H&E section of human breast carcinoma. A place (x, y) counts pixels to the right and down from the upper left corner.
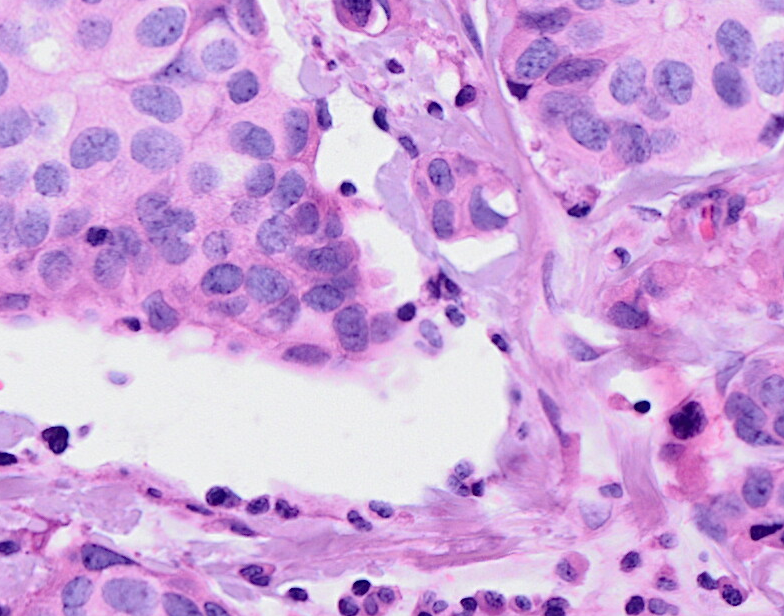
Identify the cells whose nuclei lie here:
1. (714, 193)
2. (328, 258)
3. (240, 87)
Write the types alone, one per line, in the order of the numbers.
endothelial cell
carcinoma cell
carcinoma cell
